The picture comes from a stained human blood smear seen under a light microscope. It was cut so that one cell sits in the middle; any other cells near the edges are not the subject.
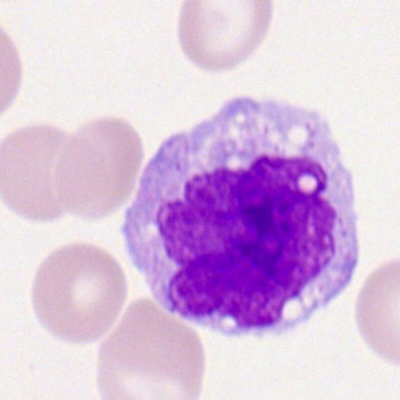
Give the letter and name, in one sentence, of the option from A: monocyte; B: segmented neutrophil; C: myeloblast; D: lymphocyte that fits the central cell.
The cell placed in the middle is a monocyte; option A is correct.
